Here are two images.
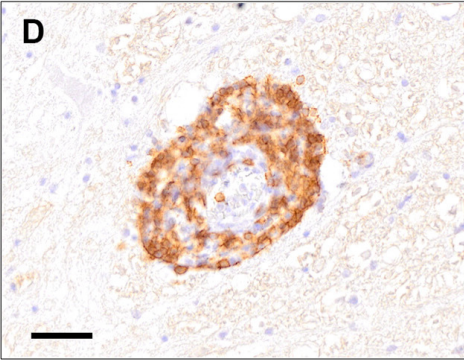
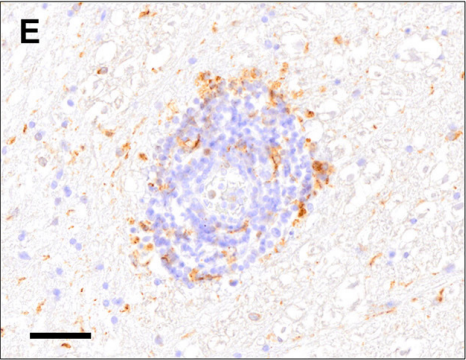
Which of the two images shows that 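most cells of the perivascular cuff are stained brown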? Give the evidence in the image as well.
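The first image. Second image: the cuff is mostly blue nuclei with only scattered brown cells at its edge. First image: nearly the whole ring of cells around the vessel is rimmed in dark brown.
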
